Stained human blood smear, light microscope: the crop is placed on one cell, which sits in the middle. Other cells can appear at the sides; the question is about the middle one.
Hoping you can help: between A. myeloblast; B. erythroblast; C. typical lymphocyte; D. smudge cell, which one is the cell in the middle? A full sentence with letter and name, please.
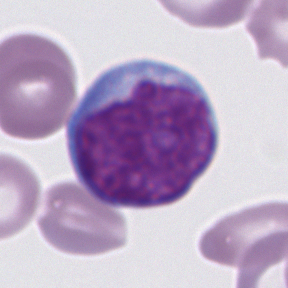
Answer key: option A, the middle cell being a myeloblast.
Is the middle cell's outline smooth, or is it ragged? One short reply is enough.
No projections interrupt the outline; it is smooth all the way round.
